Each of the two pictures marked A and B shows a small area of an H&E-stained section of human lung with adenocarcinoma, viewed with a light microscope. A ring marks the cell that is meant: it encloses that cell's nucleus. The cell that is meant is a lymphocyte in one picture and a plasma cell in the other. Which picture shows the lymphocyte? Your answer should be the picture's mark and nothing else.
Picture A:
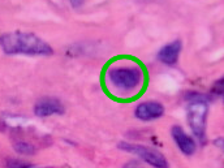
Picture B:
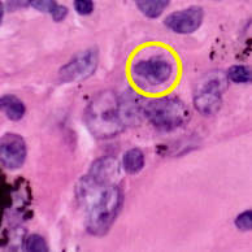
B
